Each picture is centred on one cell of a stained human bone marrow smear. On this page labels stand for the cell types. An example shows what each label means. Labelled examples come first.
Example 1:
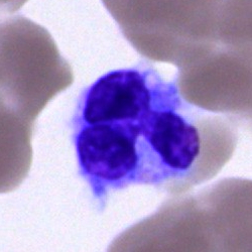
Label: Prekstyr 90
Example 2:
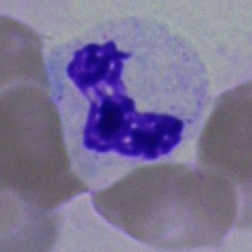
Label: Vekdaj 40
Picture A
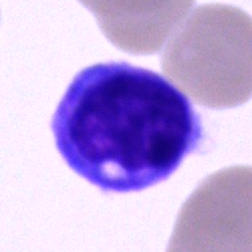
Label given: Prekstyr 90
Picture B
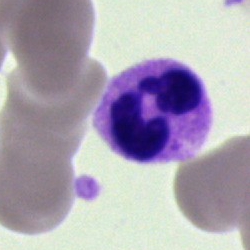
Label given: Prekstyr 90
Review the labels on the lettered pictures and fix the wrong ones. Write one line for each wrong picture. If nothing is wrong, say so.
B: not Prekstyr 90 but Vekdaj 40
